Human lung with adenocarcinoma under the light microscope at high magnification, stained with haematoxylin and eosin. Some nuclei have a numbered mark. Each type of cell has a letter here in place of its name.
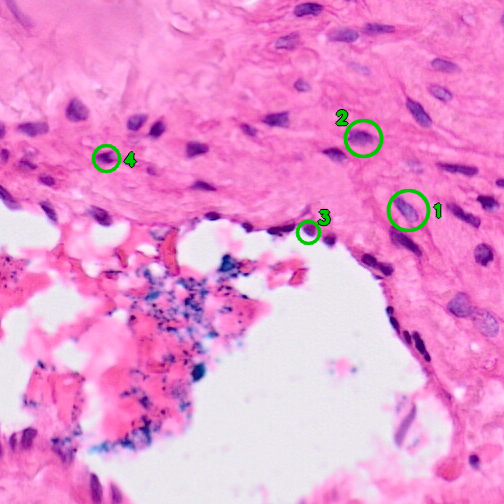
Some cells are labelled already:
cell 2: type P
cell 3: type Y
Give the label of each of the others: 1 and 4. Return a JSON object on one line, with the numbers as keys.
{"1": "type P", "4": "type P"}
